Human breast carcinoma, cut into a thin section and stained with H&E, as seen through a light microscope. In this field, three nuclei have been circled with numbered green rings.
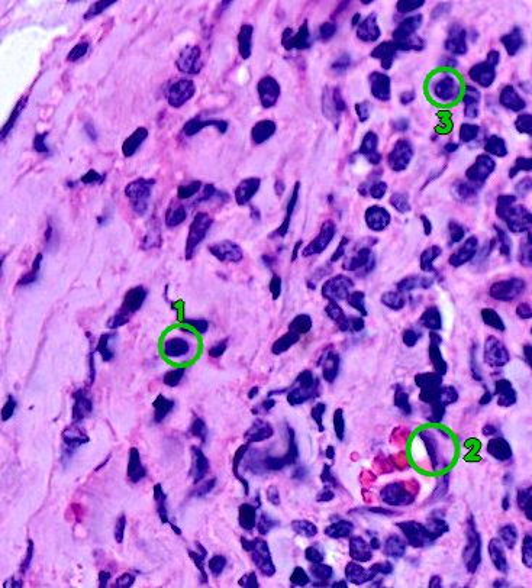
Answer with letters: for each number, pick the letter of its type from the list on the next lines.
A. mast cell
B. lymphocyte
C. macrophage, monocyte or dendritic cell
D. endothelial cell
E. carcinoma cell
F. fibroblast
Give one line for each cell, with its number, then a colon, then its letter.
1: B
2: D
3: B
